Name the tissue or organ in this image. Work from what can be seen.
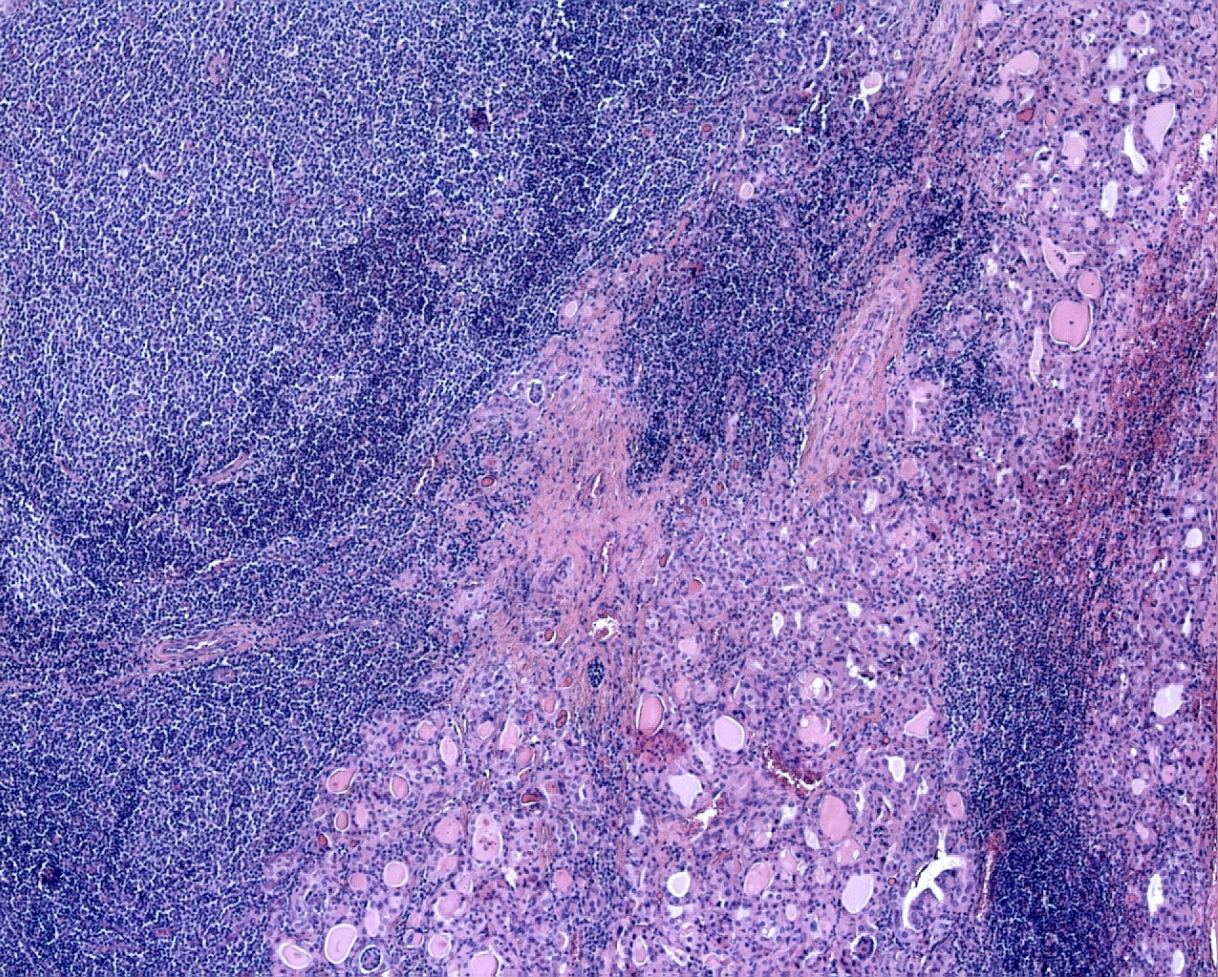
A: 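Small round follicles filled with homogeneous pink colloid occupy the right and lower part of the panel. The follicles are lined by epithelial cells with pink cytoplasm. So: thyroid parenchyma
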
